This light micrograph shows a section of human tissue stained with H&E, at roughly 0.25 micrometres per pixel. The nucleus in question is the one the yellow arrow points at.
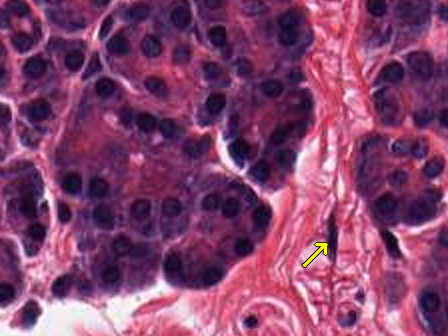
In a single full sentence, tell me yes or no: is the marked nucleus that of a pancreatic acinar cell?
No, the nucleus that is marked belongs to a supporting cell rather than to a pancreatic acinar cell.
